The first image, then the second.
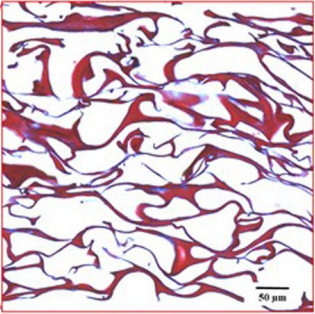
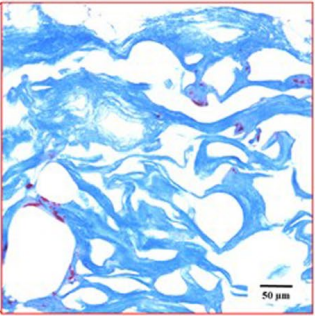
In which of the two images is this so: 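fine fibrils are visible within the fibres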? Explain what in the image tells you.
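Second image: the blue fibres show a streaked, thread-like internal texture. First image: the red fibres look smooth and uniformly stained inside.
Hence: the second image.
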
